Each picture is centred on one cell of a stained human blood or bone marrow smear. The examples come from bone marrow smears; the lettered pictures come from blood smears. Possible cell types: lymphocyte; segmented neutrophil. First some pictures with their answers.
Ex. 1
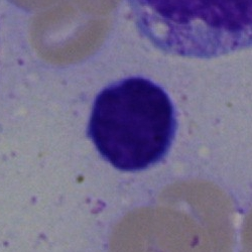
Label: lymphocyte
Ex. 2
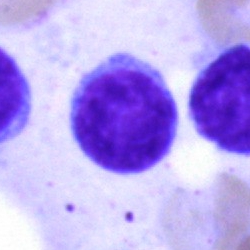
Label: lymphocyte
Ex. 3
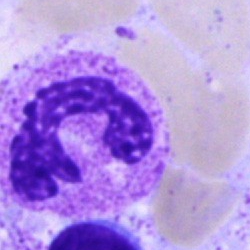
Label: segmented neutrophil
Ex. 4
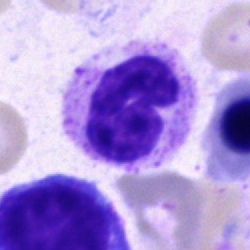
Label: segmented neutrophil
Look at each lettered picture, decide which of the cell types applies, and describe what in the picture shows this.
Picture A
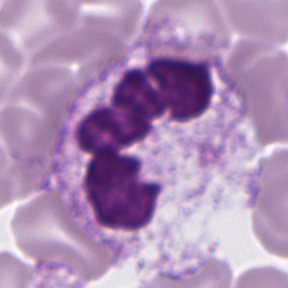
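Label: segmented neutrophil. The cytoplasm is plentiful and very pale, almost colourless.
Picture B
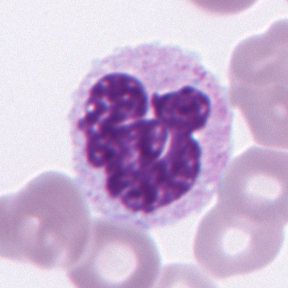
Label: segmented neutrophil. The nucleus is divided into several lobes that crowd together.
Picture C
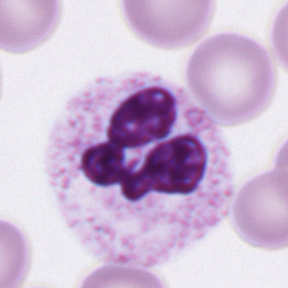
Label: segmented neutrophil. The cytoplasm between the granules is pale and nearly colourless.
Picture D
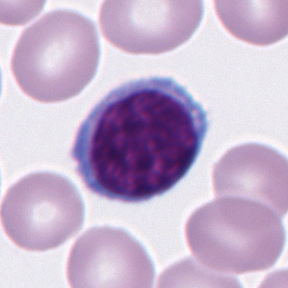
Label: lymphocyte. The cytoplasm forms a narrow rim that is widest on the left side of the nucleus.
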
